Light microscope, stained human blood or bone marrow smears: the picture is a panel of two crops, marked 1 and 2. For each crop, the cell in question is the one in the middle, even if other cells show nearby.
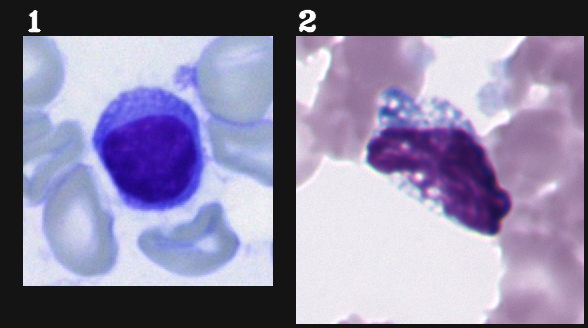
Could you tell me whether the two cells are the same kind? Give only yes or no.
yes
